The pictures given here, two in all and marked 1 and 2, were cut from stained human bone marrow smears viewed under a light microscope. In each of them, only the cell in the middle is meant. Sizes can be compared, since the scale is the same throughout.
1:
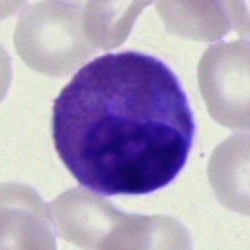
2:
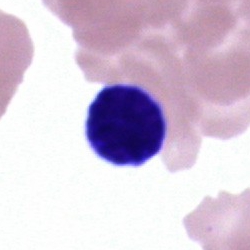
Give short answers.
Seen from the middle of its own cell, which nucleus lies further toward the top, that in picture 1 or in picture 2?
2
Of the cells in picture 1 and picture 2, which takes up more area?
1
